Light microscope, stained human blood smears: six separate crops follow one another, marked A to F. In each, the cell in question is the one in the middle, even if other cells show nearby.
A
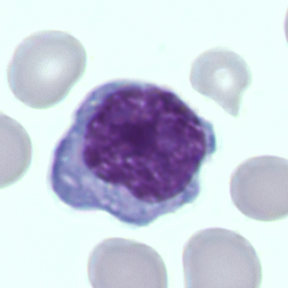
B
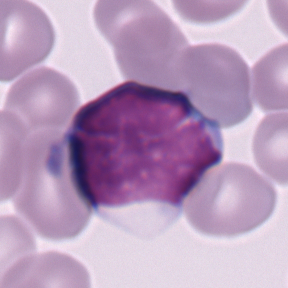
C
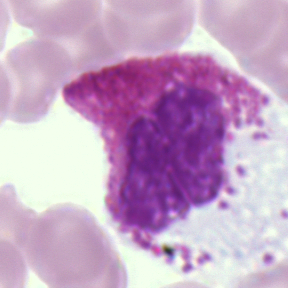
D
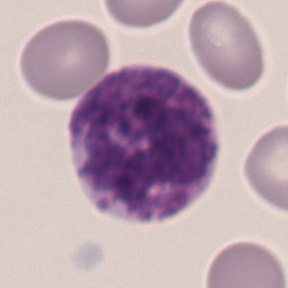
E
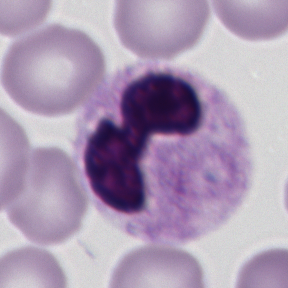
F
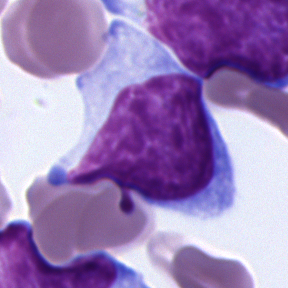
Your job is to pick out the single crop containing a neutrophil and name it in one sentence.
In the set of crops, crop E is the one that contains a neutrophil.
